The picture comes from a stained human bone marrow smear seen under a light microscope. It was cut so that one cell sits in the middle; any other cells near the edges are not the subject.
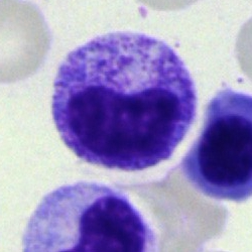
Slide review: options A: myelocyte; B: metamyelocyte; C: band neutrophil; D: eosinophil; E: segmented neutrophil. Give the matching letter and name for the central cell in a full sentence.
The cell occupying the centre is a metamyelocyte; option B is thus the correct choice.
